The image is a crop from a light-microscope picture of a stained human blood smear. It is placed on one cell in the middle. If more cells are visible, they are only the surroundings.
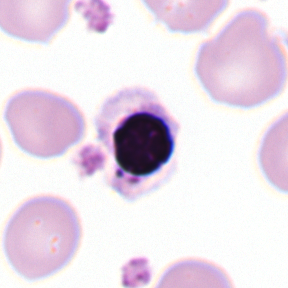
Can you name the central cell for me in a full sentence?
Located at the centre of the crop is a normoblast.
